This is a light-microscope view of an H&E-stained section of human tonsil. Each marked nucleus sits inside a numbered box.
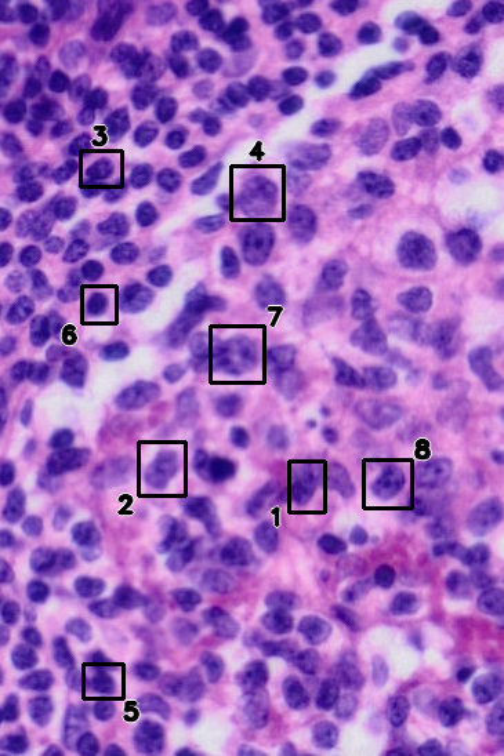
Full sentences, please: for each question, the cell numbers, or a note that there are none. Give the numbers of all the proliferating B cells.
When it comes to cells 1, 2, 4, 7 and 8, they are proliferating B cells.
